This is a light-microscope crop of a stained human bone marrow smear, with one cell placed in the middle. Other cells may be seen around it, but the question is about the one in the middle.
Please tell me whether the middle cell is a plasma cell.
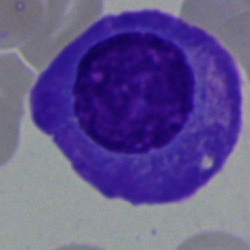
yes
